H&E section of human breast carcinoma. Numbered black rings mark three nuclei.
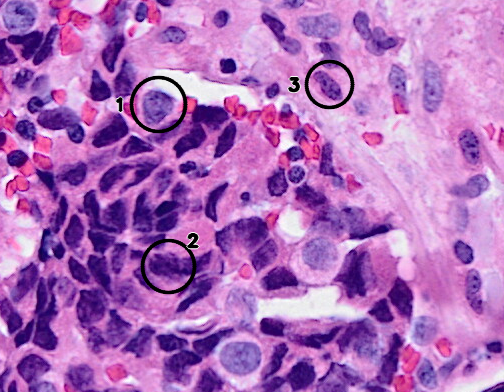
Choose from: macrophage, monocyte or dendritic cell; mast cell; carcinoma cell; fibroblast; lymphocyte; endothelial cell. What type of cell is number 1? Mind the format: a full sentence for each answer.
The cell that carries the label 1 is a carcinoma cell.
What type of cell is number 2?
Among the marked cells, number 2 is a carcinoma cell.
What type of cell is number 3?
Cell 3 in the field is a mast cell.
